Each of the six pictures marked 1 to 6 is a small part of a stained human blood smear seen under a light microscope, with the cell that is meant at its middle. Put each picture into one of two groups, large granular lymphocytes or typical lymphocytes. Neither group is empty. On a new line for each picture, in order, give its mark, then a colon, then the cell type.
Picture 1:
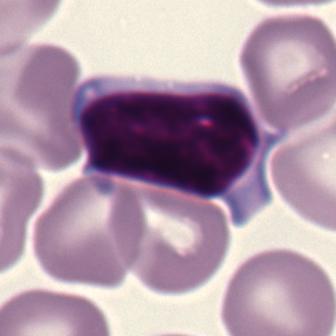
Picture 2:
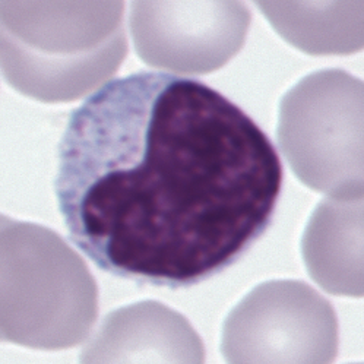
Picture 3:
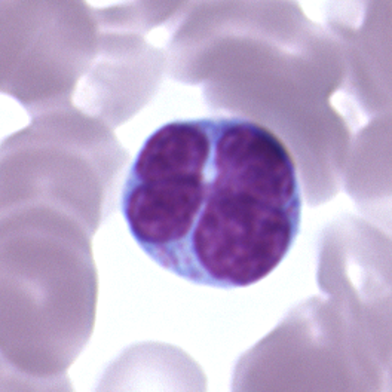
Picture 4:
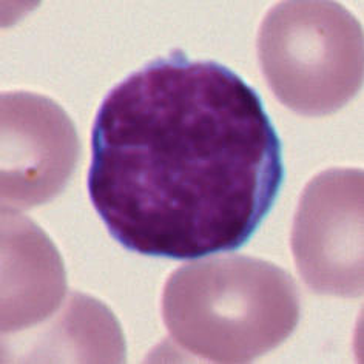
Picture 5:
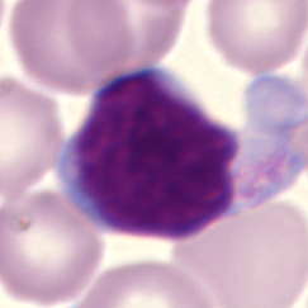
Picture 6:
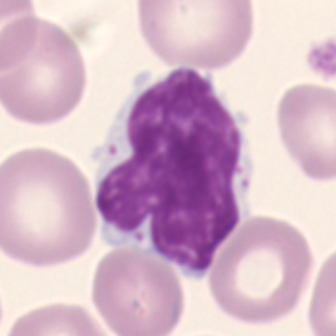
1: typical lymphocyte
2: large granular lymphocyte
3: typical lymphocyte
4: typical lymphocyte
5: large granular lymphocyte
6: large granular lymphocyte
